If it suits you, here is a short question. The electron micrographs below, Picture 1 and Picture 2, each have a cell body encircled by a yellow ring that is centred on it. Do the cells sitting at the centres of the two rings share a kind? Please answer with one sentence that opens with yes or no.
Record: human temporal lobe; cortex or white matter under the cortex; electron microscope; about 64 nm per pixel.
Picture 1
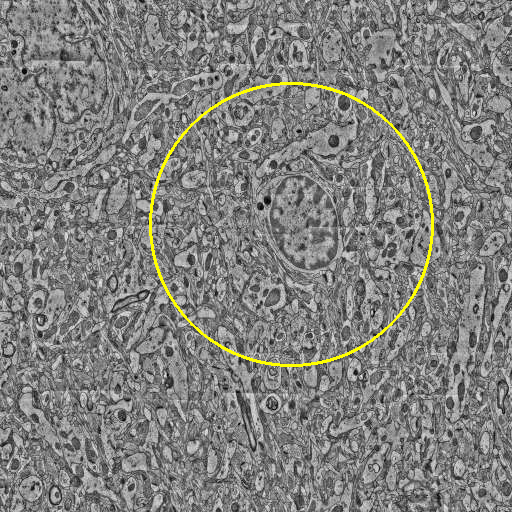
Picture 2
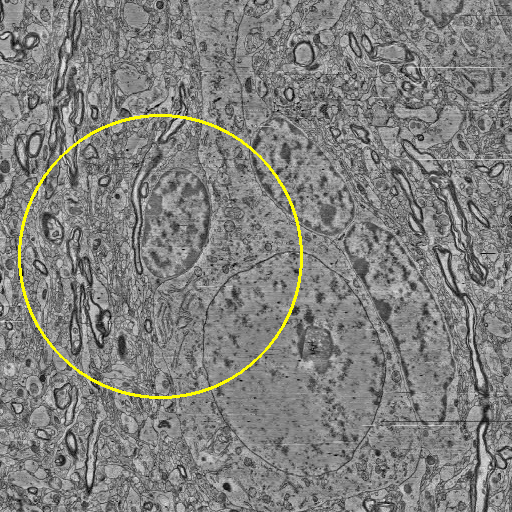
No, the two cells sitting at the ring centres fall into two kinds.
